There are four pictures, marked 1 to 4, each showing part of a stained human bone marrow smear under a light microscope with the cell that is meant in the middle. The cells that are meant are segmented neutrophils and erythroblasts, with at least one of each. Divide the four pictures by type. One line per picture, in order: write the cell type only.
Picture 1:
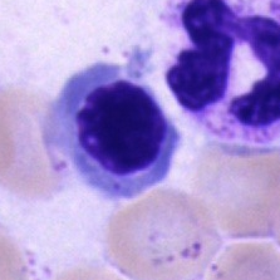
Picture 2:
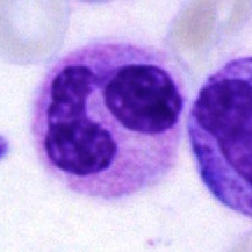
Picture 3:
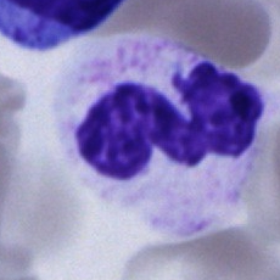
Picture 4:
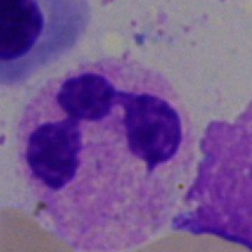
erythroblast
segmented neutrophil
segmented neutrophil
segmented neutrophil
